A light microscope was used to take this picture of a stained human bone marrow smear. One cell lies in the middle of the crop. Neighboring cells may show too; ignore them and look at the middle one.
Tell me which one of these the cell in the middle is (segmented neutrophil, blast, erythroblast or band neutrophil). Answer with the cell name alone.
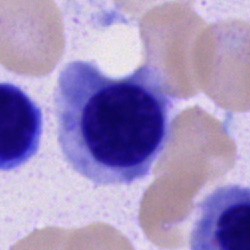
erythroblast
